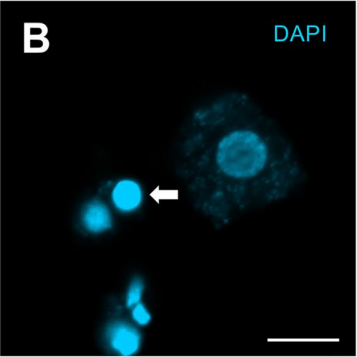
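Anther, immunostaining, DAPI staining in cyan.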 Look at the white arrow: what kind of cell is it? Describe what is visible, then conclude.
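A small, compact, brightly stained round nucleus. Little visible cytoplasm around it compared with the large cell beside it. That points to this answer: somatic cell.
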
